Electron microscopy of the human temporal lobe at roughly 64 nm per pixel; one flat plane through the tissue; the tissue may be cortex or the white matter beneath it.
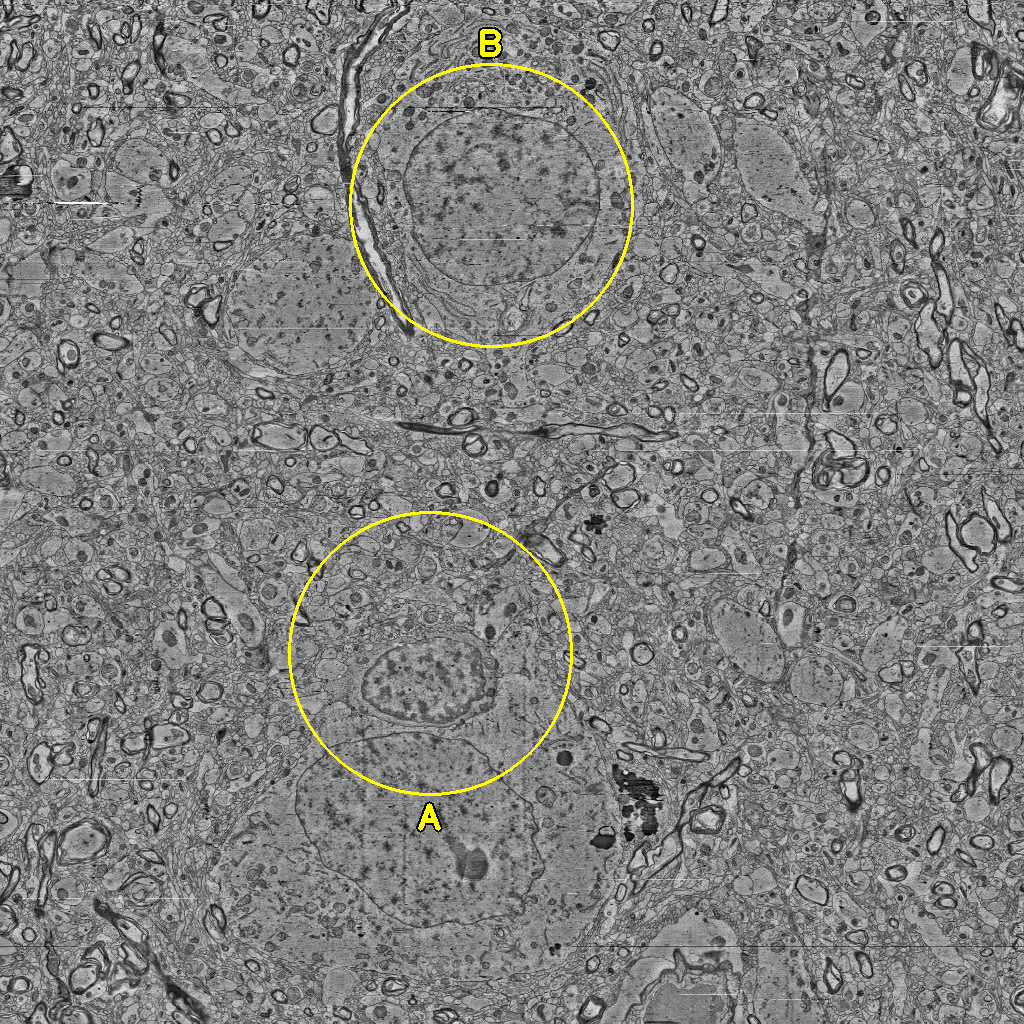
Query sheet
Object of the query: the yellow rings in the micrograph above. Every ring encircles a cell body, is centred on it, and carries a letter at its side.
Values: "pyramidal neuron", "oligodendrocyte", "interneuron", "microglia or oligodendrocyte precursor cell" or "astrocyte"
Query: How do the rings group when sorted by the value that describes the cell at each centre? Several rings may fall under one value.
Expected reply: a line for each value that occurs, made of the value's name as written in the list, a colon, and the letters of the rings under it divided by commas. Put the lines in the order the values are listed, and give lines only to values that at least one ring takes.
oligodendrocyte: A
interneuron: B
